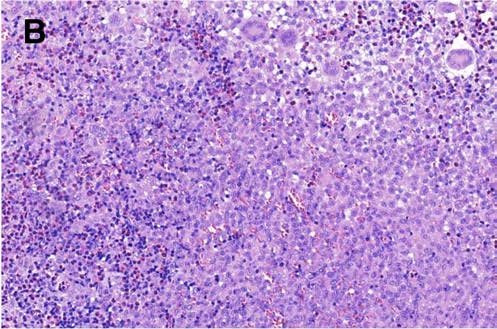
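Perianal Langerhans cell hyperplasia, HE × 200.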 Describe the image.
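This is a cellular infiltrate in which sheets of medium-sized cells with pale pink cytoplasm fill most of the field. Toward one side the cells give way to a denser band of small cells with dark nuclei, among which cells with red granular cytoplasm are scattered. A few large rounded pale cells lie near the top edge.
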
